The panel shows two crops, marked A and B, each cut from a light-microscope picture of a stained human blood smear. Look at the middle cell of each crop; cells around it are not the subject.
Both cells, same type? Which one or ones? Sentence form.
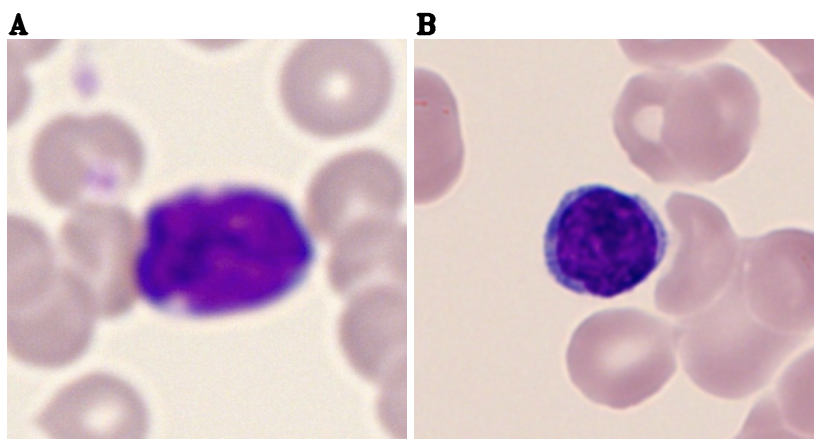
No, a blast is depicted by crop A, a lymphocyte by crop B.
